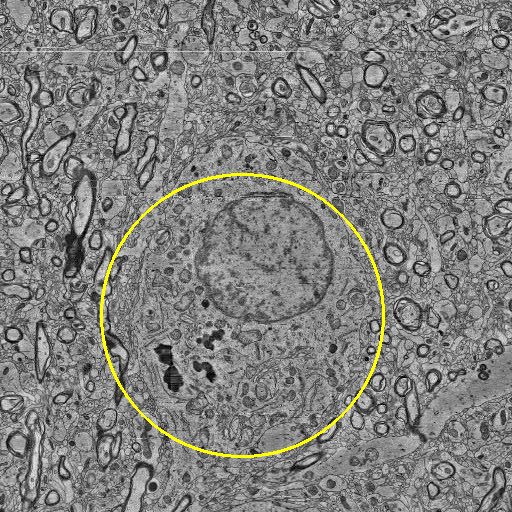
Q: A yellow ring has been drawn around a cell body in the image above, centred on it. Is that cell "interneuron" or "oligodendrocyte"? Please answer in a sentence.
The ring surrounds the cell body of an interneuron.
